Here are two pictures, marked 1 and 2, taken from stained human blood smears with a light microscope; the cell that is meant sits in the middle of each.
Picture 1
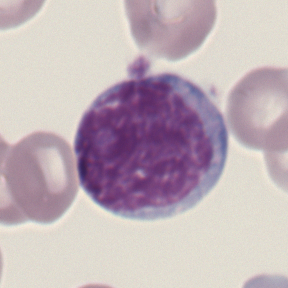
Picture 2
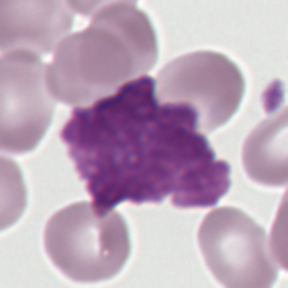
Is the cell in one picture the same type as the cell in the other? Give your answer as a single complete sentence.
No; the cell in picture 1 is a myeloblast, while the one in picture 2 is a smudge cell.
